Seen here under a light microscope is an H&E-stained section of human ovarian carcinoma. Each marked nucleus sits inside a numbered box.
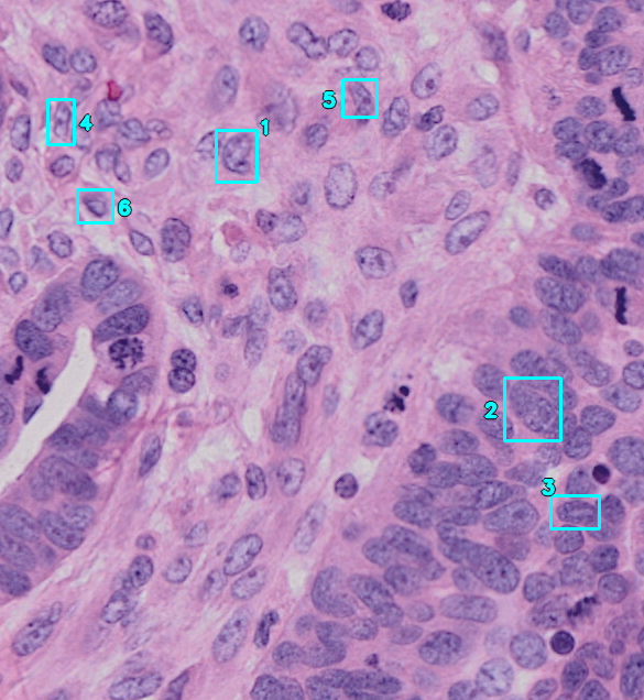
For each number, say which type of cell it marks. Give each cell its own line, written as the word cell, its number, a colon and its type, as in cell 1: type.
cell 1: fibroblast
cell 2: carcinoma cell
cell 3: carcinoma cell
cell 4: fibroblast
cell 5: fibroblast
cell 6: fibroblast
